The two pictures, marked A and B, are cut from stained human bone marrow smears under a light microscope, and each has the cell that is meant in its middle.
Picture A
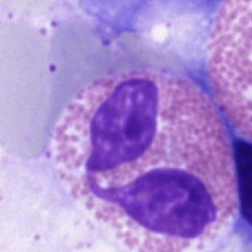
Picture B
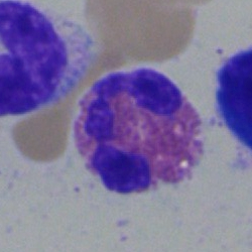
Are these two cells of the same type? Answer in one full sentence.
Yes; the cells in both pictures are eosinophils.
